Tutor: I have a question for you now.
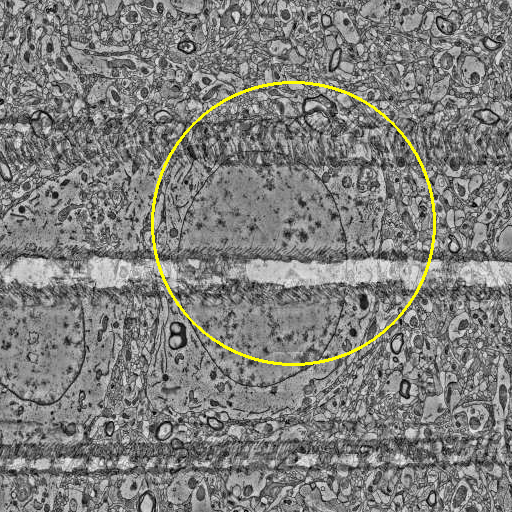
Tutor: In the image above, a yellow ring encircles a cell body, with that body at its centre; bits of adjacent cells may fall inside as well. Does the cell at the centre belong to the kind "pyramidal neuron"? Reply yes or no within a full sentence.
Yes, the cell at the centre of the yellow ring in the picture is of that kind.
